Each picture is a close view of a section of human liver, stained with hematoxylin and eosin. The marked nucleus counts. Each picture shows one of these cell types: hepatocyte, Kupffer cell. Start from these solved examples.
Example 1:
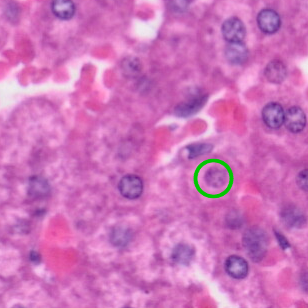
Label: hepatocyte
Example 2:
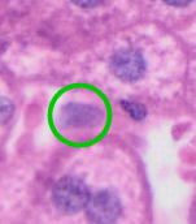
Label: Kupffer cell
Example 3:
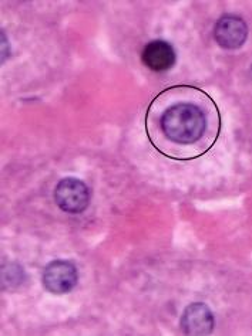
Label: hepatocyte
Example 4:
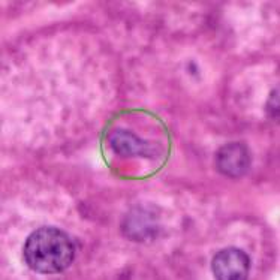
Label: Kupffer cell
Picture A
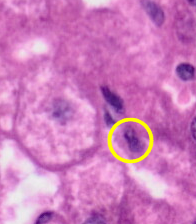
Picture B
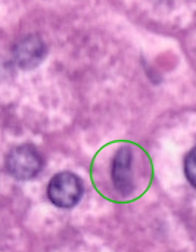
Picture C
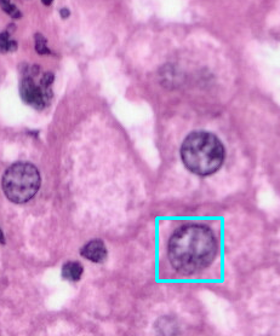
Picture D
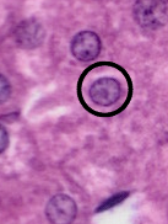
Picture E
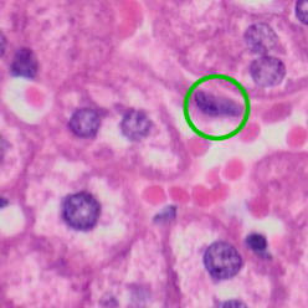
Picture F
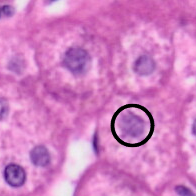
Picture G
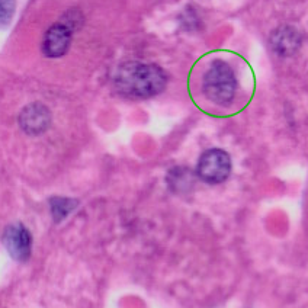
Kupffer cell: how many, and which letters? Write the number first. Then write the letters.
4, namely A, B, E, G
